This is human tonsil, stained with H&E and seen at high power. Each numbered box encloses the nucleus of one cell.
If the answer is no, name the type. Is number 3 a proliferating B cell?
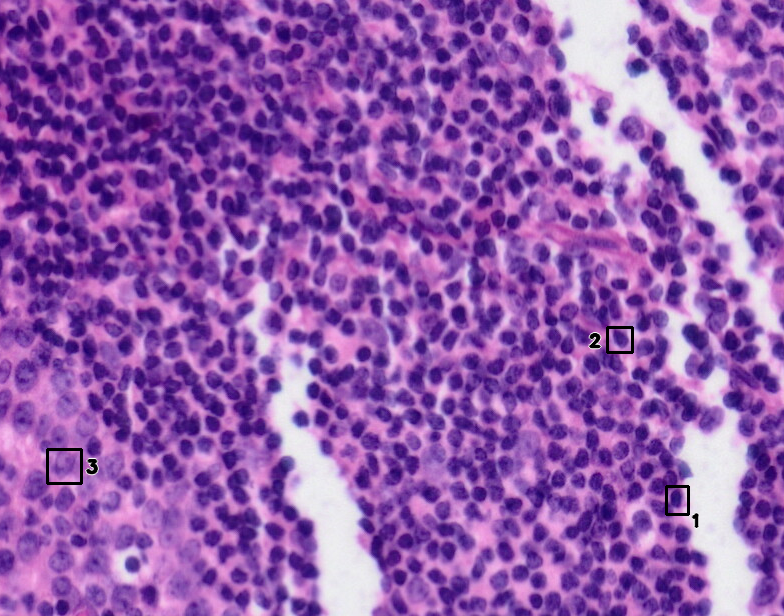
Yes.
